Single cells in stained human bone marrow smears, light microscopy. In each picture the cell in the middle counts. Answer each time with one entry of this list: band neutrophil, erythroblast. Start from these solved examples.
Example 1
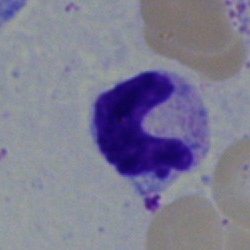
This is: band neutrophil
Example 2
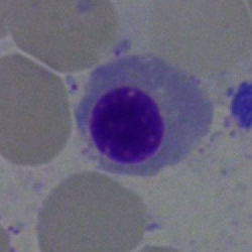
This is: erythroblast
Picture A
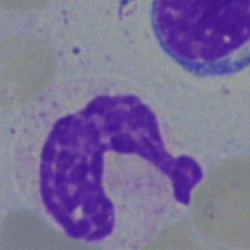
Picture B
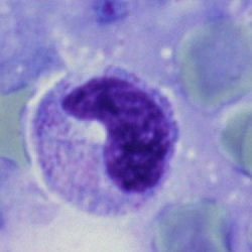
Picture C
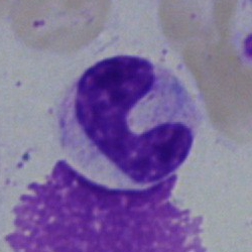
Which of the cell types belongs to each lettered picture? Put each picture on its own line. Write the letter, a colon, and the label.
A: band neutrophil
B: band neutrophil
C: band neutrophil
